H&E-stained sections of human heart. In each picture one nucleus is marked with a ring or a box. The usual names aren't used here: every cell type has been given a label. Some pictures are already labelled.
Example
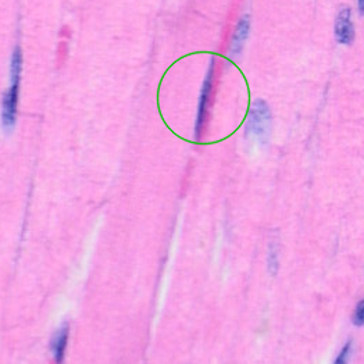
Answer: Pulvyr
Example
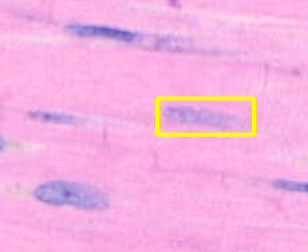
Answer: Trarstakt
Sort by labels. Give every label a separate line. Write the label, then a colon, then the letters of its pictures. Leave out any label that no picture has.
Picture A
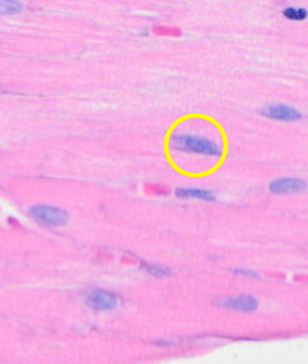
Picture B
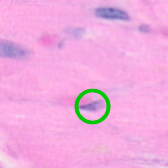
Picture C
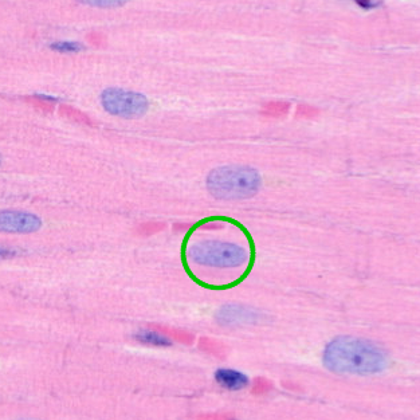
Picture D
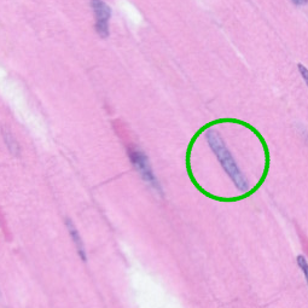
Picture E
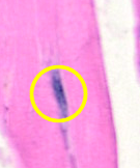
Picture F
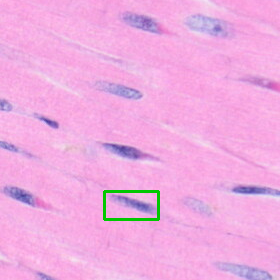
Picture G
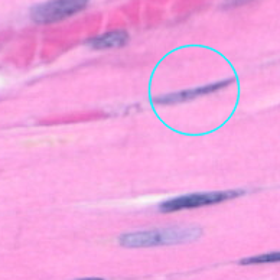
Pulvyr: A, B, E, F, G
Trarstakt: C, D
